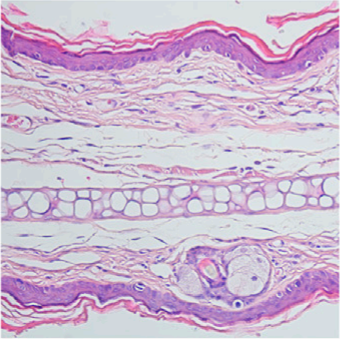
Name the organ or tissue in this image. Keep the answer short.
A: Ear skin.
